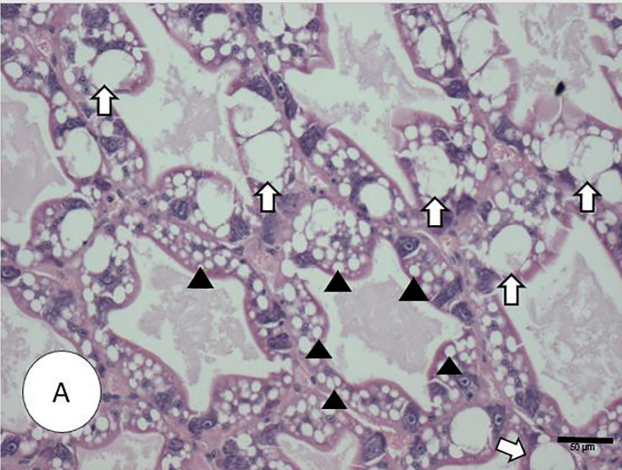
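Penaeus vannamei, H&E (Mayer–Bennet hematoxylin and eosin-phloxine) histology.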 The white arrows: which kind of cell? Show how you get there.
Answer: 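B-cells. They bulge from the tubule epithelium toward the lumen.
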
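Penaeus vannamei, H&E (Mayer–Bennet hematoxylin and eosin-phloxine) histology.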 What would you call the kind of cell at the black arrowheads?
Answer: R-cells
